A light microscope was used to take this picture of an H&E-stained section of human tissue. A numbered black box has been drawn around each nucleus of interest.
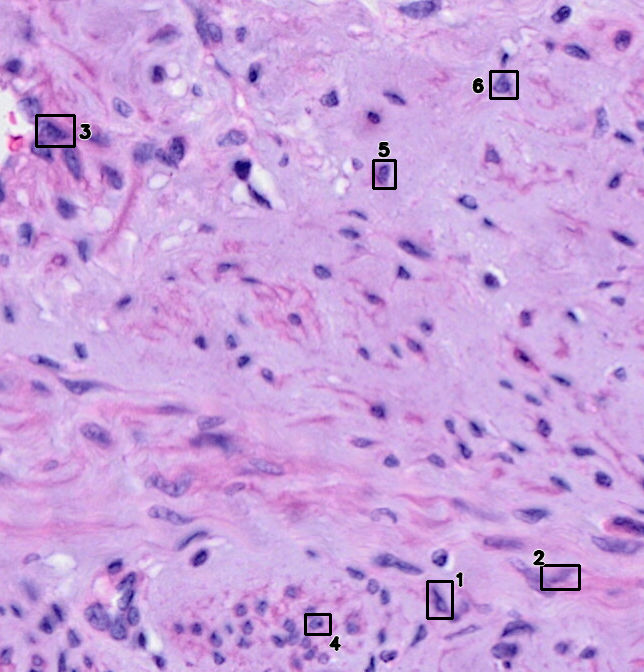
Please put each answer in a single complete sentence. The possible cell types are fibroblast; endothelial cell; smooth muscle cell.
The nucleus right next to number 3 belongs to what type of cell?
Closest to number 3 lies the nucleus of an endothelial cell.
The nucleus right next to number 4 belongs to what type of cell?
The cell nearest to number 4 is a smooth muscle cell.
